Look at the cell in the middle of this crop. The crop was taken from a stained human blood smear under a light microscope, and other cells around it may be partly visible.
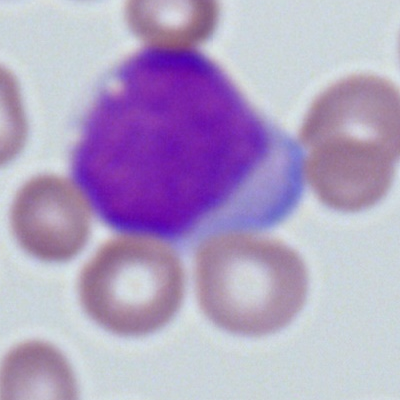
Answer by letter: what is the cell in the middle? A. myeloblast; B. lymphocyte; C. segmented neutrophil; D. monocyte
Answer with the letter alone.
A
